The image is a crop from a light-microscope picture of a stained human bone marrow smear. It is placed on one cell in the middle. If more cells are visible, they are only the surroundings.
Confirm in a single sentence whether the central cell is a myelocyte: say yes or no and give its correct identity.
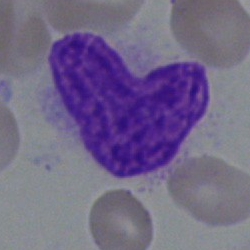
No, looking at the central cell, it is a monocyte rather than a myelocyte.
